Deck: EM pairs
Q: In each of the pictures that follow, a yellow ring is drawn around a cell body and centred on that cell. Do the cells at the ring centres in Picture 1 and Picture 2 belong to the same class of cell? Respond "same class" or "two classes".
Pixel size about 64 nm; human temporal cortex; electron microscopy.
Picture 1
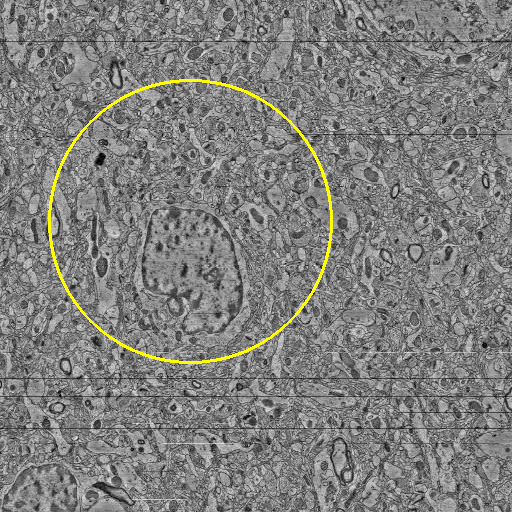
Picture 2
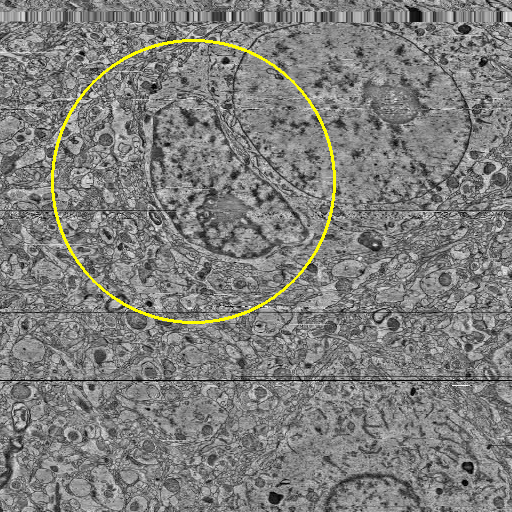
same class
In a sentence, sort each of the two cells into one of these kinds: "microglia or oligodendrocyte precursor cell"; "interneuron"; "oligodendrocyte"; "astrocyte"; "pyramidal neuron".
In each of the two pictures, the ringed cell is a microglial cell or oligodendrocyte precursor cell.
